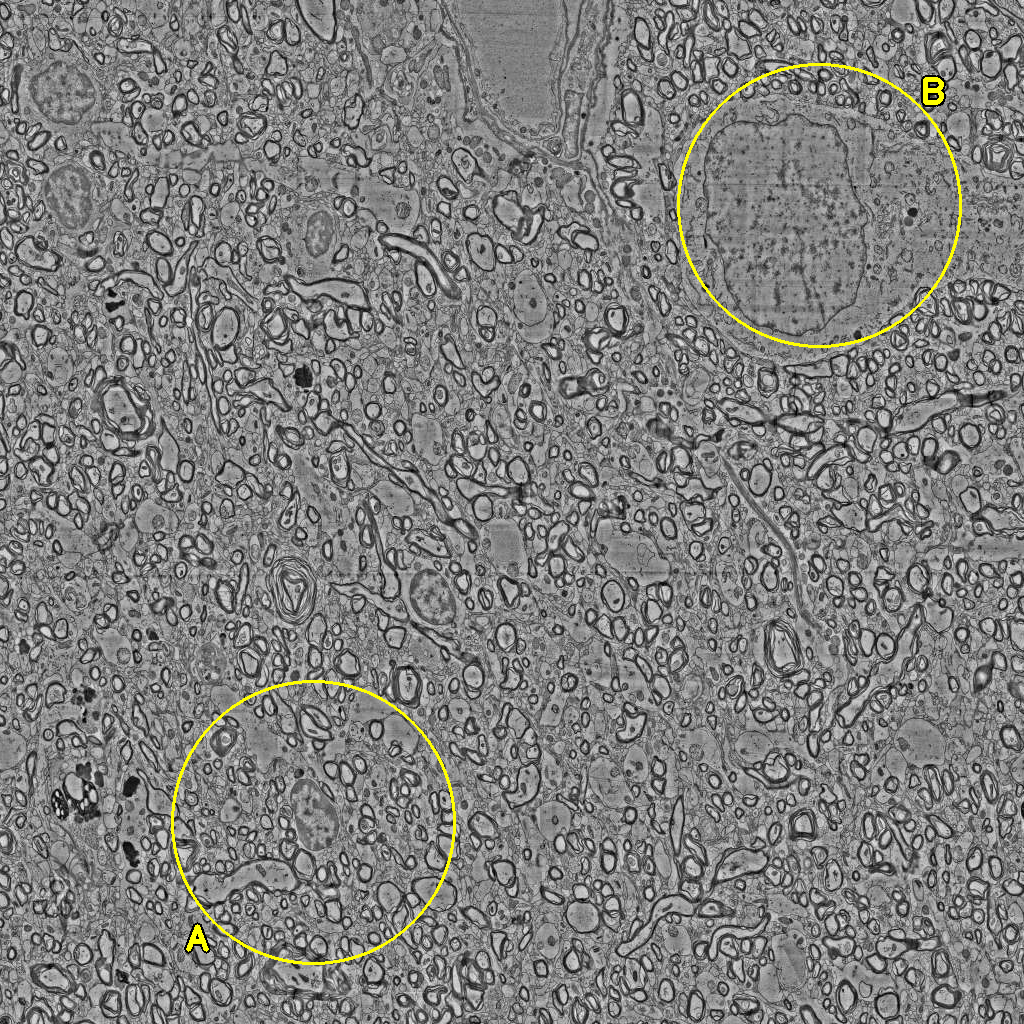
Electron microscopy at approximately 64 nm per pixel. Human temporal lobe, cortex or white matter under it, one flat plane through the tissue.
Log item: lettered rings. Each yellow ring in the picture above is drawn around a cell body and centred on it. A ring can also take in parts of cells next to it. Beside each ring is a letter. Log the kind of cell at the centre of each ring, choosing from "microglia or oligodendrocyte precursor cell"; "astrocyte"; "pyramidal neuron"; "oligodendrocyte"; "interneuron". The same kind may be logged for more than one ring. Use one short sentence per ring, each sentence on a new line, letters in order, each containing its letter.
Within ring A, the centre is taken by a microglial cell or oligodendrocyte precursor cell.
Within ring B, the centre is taken by a pyramidal neuron.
